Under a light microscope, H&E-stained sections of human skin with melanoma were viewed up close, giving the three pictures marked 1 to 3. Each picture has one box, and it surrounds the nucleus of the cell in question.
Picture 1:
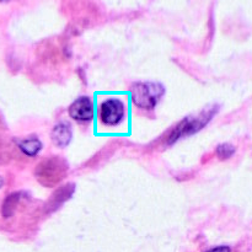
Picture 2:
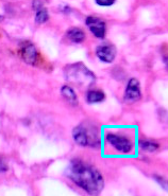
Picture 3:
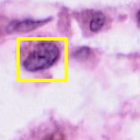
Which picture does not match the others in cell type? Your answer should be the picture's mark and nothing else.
3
